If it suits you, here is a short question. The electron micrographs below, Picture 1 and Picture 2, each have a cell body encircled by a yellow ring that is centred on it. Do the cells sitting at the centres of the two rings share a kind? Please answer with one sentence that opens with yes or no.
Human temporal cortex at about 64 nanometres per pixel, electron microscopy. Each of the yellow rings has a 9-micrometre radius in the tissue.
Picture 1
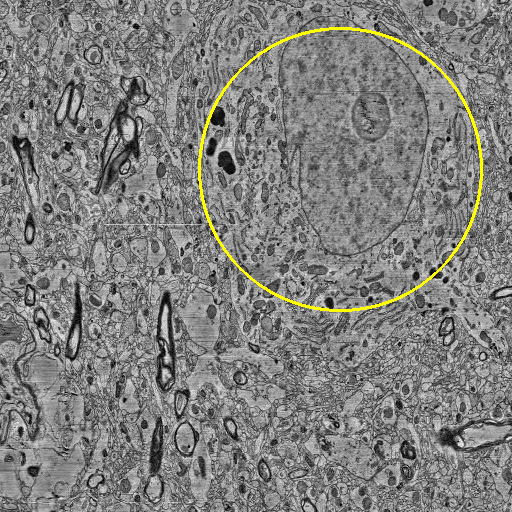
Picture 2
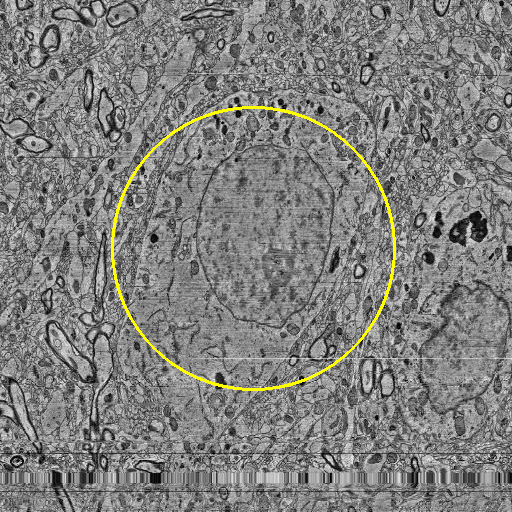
No, the two cells sitting at the ring centres fall into two kinds.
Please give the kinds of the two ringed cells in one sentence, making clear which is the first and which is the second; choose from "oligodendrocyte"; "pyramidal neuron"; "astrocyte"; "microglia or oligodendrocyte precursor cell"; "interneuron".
In the second picture the ringed cell is a pyramidal neuron; in the first it is an interneuron.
